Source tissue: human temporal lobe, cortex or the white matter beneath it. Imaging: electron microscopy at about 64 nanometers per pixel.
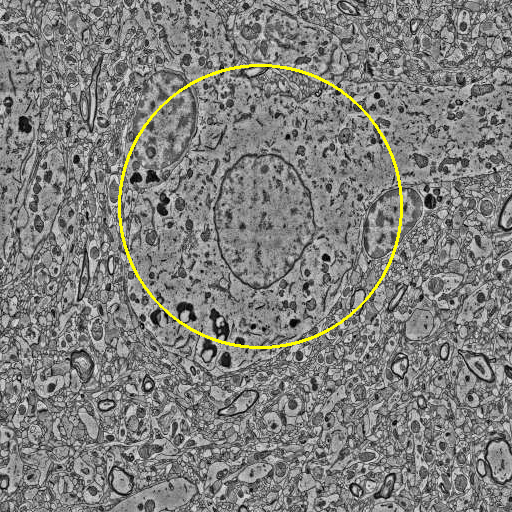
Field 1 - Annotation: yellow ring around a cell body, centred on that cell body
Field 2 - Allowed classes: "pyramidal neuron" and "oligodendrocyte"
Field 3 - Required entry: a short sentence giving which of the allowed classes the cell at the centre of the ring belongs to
The centred cell is a pyramidal neuron.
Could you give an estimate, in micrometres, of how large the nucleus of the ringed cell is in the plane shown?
About 9 by 7 micrometers, in this plane.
